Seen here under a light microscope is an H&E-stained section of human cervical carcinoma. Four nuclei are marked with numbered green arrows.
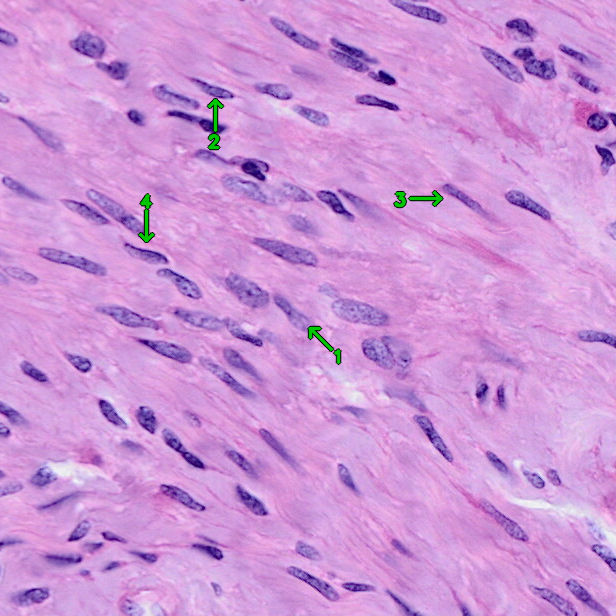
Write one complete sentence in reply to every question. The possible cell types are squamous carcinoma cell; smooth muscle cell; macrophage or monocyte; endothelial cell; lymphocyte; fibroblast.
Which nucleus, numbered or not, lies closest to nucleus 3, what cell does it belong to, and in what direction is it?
It is a fibroblast, whose nucleus lies to the right of nucleus 3.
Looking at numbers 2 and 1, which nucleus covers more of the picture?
The larger nucleus is 1, at roughly 2 times the area of 2.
